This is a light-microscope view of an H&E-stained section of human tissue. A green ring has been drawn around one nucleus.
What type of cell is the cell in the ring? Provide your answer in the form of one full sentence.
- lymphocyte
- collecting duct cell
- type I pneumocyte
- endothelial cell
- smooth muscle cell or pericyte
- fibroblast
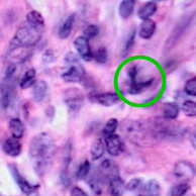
In this field of tissue, the cell in the ring is a lymphocyte.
